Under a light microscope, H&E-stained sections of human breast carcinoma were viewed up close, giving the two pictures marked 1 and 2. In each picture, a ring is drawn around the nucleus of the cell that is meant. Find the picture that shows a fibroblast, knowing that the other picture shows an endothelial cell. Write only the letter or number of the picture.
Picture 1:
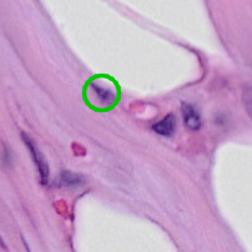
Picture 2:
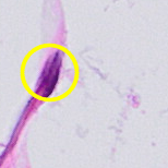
1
